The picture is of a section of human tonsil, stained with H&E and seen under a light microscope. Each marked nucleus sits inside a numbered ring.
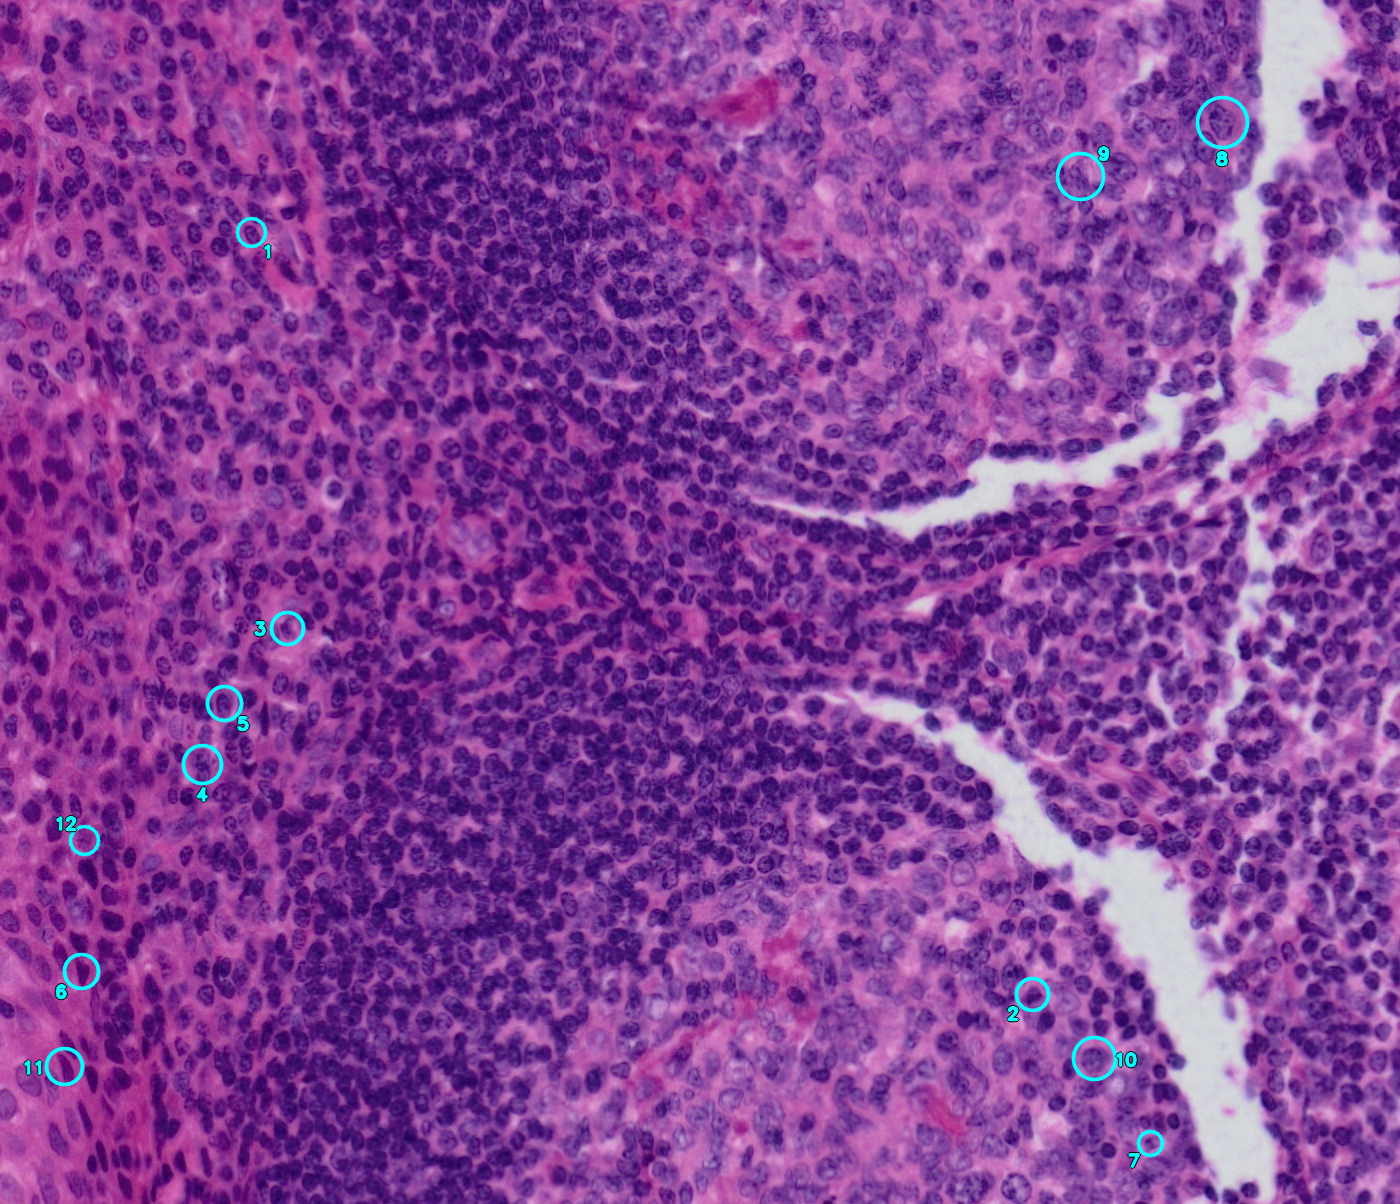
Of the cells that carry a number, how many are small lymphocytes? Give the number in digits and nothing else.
0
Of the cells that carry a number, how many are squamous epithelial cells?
3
